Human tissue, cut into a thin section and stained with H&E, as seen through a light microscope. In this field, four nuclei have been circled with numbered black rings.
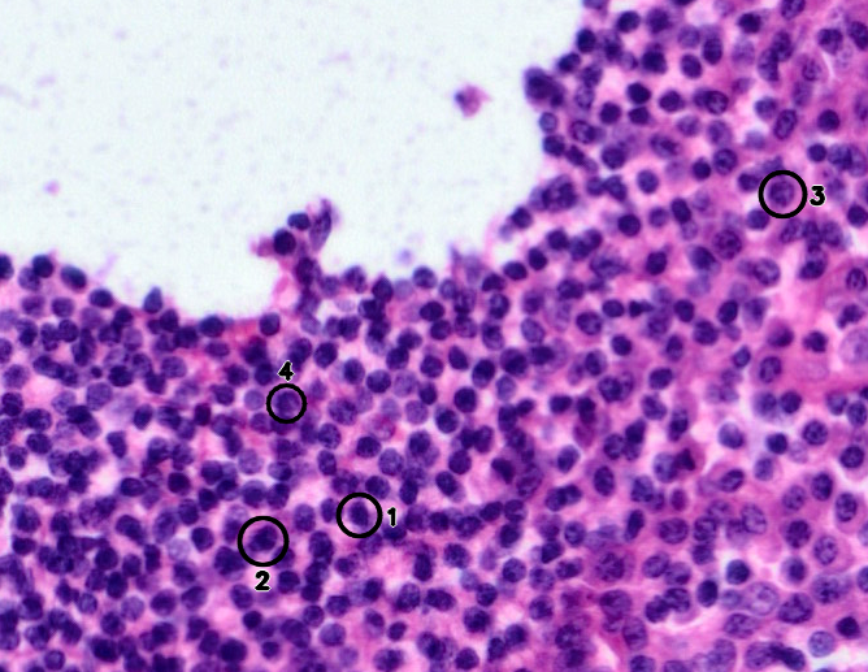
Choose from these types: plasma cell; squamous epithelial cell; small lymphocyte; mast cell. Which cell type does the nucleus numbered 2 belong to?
small lymphocyte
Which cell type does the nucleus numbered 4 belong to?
small lymphocyte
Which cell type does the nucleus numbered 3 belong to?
plasma cell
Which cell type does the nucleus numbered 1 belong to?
small lymphocyte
